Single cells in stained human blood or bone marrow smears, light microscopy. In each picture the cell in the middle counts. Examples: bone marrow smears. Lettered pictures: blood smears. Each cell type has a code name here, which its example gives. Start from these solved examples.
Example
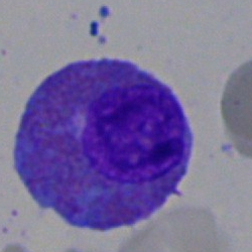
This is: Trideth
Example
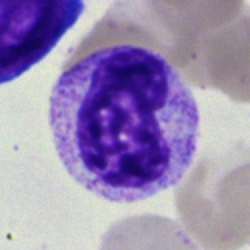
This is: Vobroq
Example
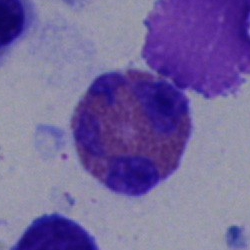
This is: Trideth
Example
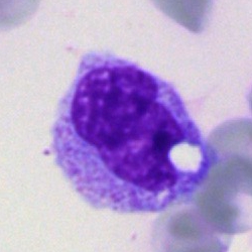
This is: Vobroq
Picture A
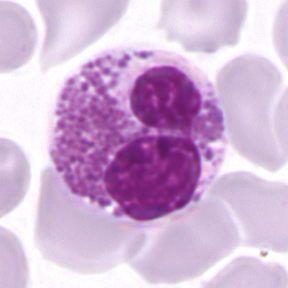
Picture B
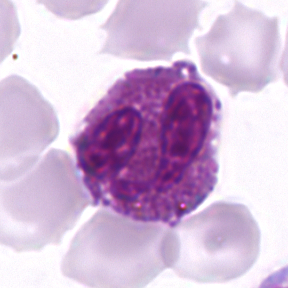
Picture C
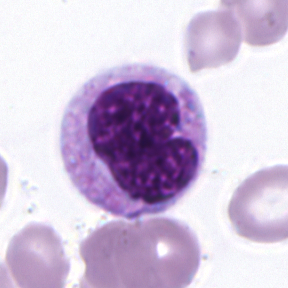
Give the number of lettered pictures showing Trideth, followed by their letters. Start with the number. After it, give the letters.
2: A, B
